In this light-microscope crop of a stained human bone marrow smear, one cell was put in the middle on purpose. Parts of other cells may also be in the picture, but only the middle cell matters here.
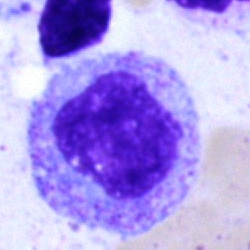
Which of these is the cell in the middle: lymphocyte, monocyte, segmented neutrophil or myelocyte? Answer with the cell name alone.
myelocyte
